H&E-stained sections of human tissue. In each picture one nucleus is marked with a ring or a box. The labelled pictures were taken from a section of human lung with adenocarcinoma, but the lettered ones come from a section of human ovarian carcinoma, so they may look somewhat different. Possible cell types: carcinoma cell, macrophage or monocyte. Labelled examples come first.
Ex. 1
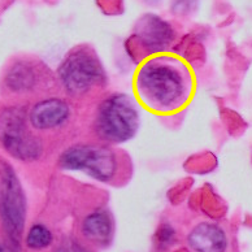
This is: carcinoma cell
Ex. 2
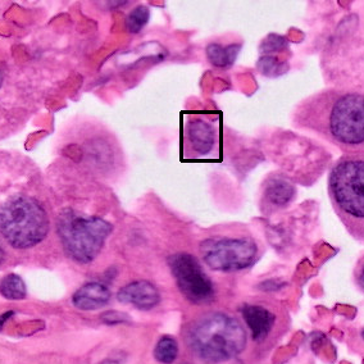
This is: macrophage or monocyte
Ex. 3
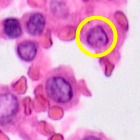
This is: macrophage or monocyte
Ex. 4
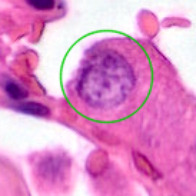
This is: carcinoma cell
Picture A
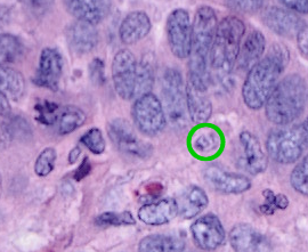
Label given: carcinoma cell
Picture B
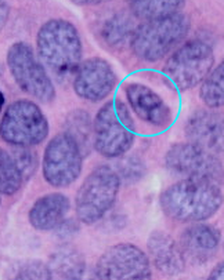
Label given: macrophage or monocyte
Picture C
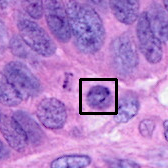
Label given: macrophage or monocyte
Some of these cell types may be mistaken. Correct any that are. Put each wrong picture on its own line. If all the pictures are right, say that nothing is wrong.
A: macrophage or monocyte, not carcinoma cell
